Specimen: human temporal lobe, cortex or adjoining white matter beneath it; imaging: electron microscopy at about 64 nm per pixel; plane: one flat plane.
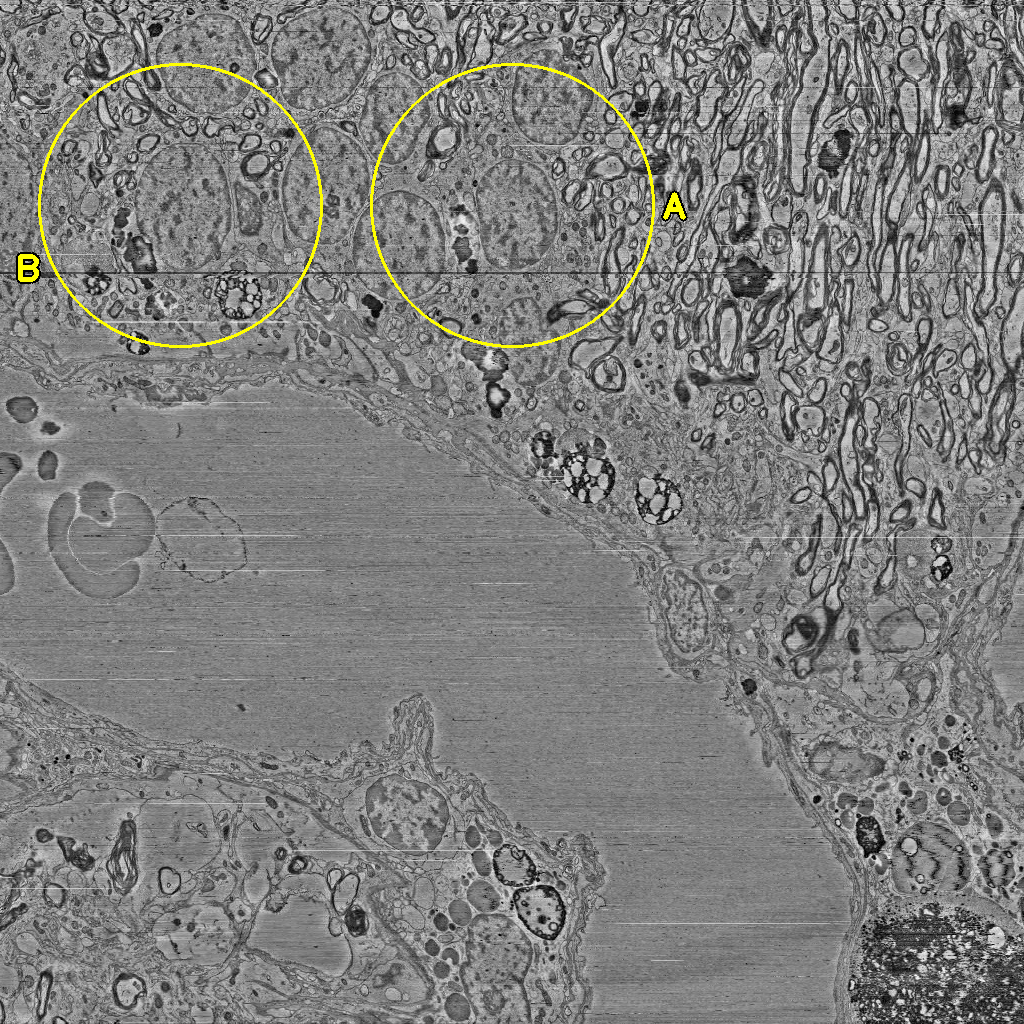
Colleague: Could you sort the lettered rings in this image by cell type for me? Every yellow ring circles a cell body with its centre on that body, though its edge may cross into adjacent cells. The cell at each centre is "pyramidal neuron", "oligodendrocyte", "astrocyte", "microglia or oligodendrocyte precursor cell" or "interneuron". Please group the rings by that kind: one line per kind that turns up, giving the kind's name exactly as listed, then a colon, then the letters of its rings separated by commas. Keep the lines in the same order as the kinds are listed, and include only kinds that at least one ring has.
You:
oligodendrocyte: A, B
